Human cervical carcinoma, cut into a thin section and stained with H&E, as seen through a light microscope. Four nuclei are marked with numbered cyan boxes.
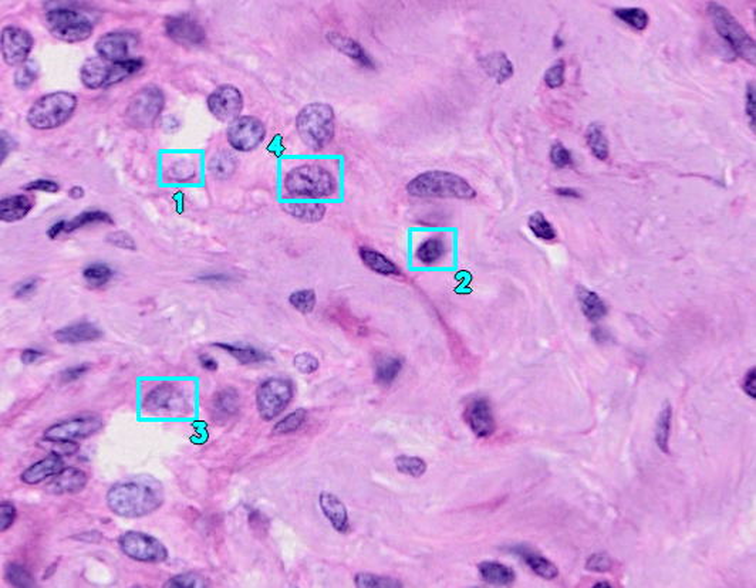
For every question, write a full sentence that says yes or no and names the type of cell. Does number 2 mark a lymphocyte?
Yes, exactly, the cell numbered 2 is a lymphocyte.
